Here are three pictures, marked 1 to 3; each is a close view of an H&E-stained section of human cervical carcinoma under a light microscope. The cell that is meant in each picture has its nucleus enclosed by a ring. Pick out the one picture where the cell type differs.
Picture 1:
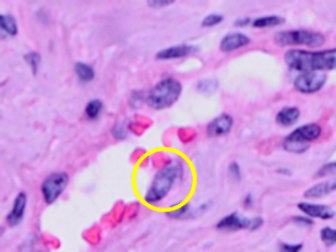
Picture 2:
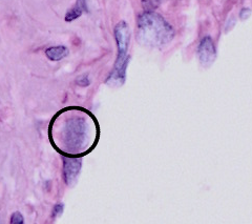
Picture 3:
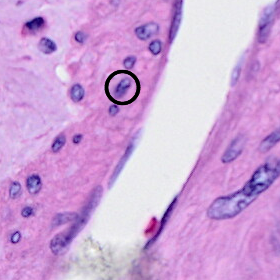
3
